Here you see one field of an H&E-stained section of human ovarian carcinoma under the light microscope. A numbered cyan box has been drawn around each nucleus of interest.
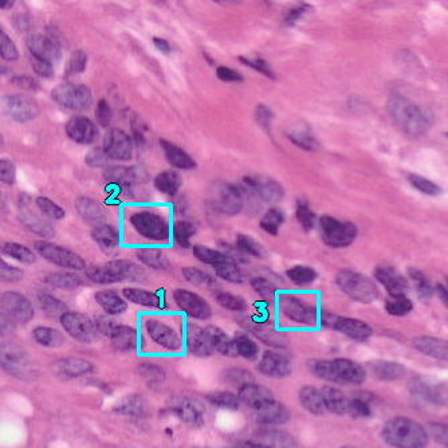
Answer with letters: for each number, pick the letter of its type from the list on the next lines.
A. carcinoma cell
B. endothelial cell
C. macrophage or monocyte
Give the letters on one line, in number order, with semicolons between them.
C; A; A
